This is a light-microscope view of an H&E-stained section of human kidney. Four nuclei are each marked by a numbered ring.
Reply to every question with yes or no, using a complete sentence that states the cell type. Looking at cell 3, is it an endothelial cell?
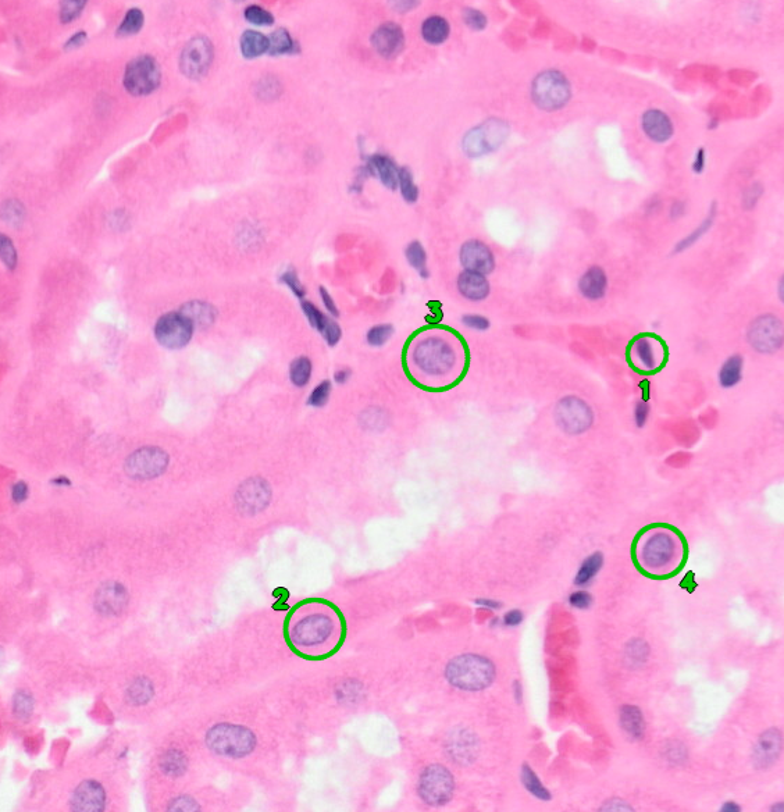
No, cell 3 is not an endothelial cell; it is a proximal tubule cell.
